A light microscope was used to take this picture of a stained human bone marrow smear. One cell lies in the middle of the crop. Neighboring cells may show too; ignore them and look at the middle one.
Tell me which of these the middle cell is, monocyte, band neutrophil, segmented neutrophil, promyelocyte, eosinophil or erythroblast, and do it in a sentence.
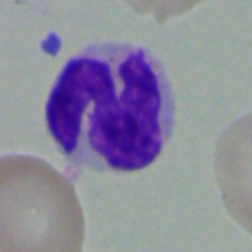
Seen at the centre of the crop is a segmented neutrophil.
